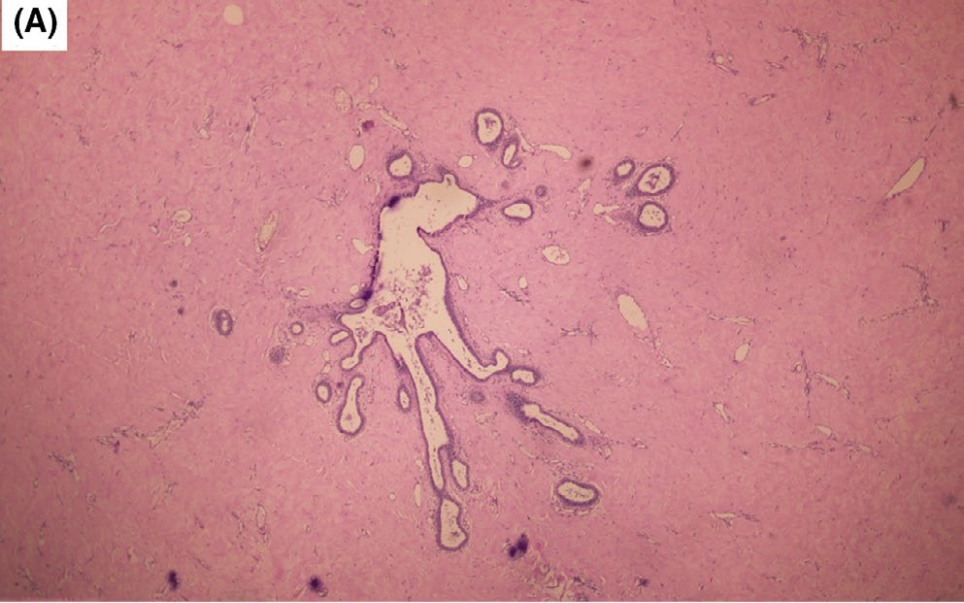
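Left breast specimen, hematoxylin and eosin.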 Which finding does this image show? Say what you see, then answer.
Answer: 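Most of the field is filled by uniform pink, acellular-looking stroma. Few nuclei are scattered in the pink stroma around the ducts. That points to this answer: extensive collagen deposited areas.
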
